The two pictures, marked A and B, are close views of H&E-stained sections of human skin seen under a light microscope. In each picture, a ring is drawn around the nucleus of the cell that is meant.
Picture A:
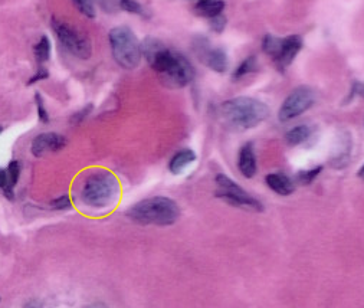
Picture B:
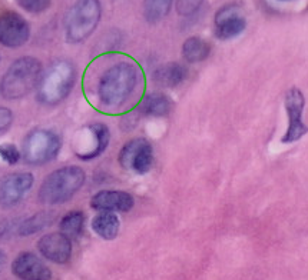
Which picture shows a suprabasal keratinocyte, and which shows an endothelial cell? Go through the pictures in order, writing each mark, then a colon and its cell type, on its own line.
A: endothelial cell
B: suprabasal keratinocyte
